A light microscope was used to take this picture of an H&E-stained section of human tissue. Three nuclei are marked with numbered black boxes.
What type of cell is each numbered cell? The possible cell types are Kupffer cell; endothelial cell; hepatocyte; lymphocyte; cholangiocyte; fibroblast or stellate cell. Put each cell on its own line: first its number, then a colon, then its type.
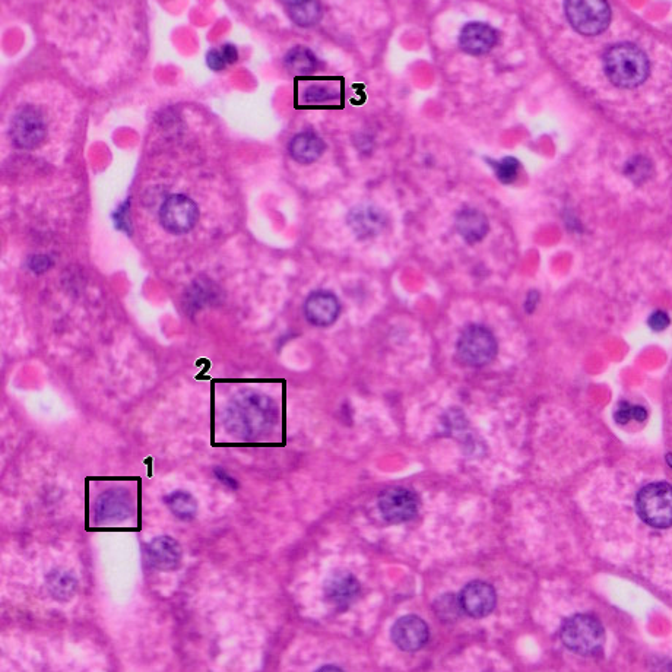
1: endothelial cell
2: hepatocyte
3: fibroblast or stellate cell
